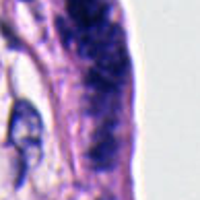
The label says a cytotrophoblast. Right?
Wrong: this is a syncytial knot.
